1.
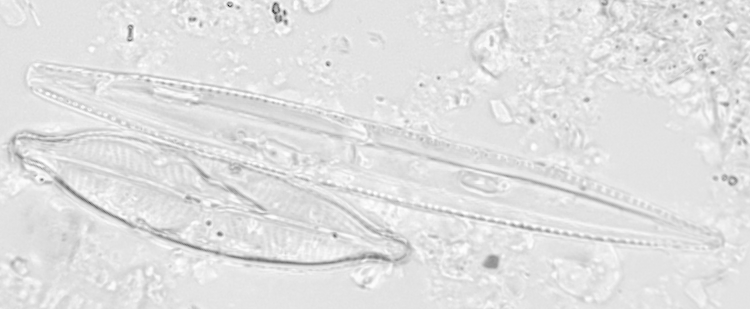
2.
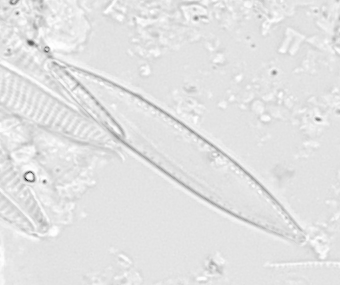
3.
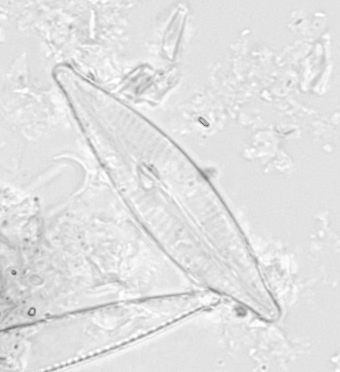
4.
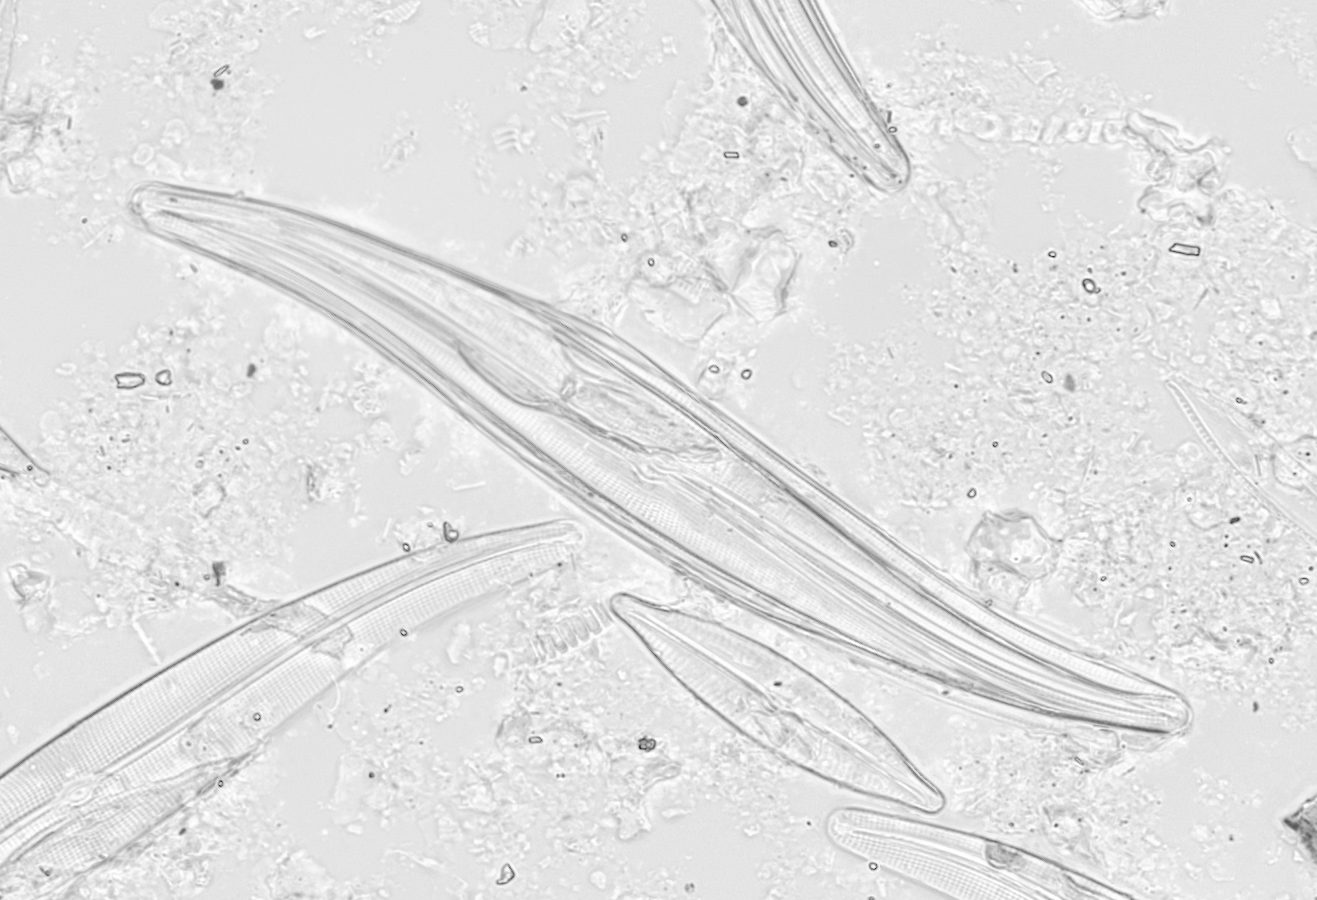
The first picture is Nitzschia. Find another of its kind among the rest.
Picture 2.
